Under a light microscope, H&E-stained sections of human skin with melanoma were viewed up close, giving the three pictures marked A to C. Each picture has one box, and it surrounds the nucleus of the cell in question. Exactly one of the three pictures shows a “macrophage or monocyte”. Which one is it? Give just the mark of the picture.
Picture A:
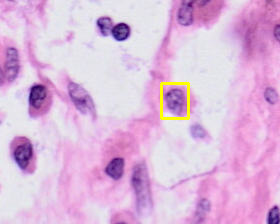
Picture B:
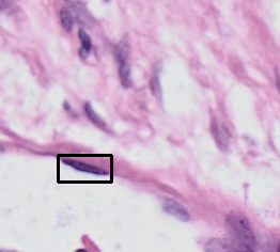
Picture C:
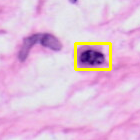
A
